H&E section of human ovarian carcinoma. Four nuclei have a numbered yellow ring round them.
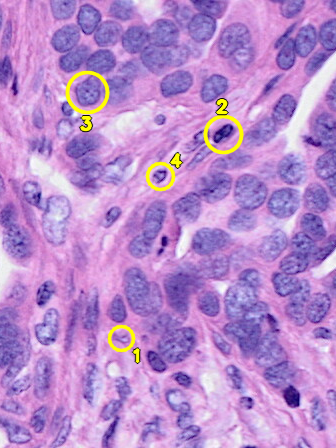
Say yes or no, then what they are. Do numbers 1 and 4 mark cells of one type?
No, cell 4 is a lymphocyte, and cell 1 is a fibroblast.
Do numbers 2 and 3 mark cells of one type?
No, the cell numbered 2 is a lymphocyte, and the cell numbered 3 is a carcinoma cell.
